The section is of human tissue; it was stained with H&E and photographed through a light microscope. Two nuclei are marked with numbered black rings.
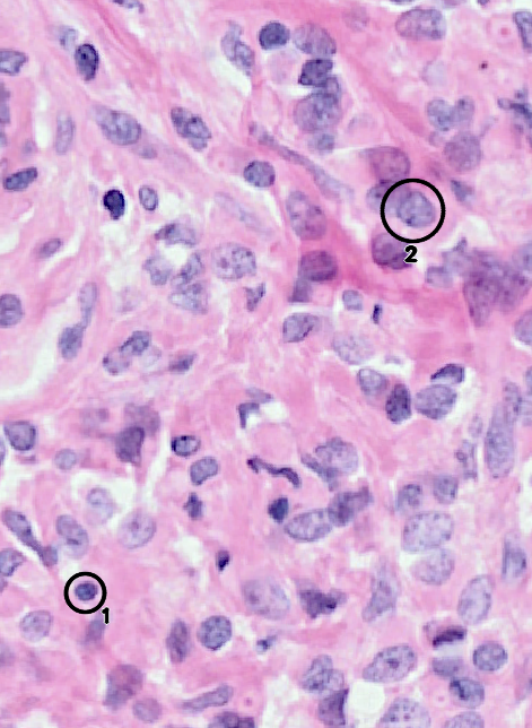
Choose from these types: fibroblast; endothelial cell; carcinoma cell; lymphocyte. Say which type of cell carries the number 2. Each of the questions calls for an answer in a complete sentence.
The cell numbered 2 has been identified as a carcinoma cell.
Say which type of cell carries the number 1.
Cell 1, as marked in the section, is a lymphocyte.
